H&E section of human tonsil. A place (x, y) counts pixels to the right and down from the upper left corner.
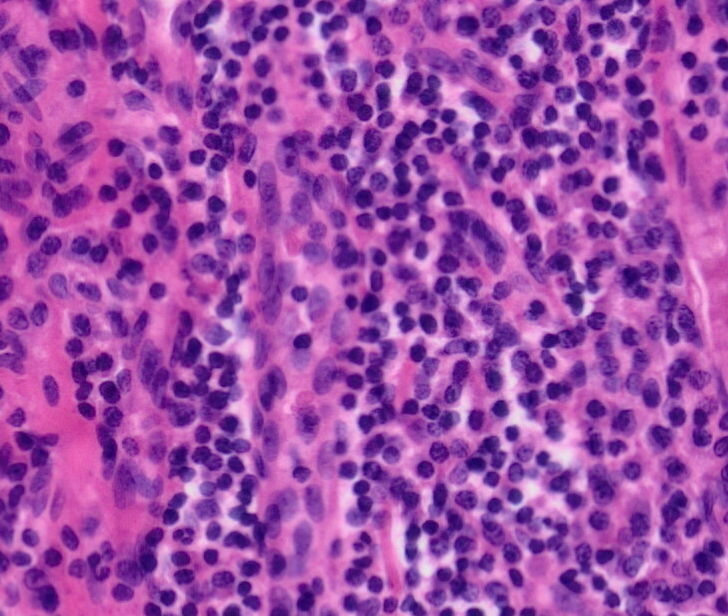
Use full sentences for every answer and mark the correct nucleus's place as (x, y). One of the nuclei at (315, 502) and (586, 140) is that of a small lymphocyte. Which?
Of the two, the nucleus lying at (586, 140) is the one belonging to a small lymphocyte.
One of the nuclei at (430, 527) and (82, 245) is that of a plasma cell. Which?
Heads up, the nucleus at (82, 245) is the one that belongs to a plasma cell.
